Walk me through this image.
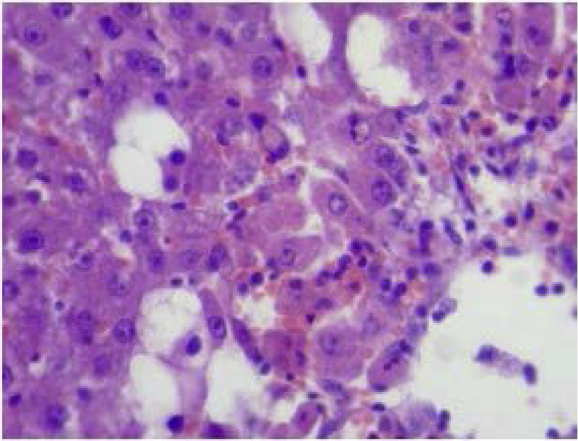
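This liver tissue shows damaged hepatocytes with large clear vacuoles, the appearance of large-droplet fatty degeneration. The vacuoles are larger than nuclei and appear empty, lying among pink-staining liver cells. The sinusoids between the cords are filled with red blood cells, giving an orange-red tinge to the spaces. The cord arrangement is disturbed, and many small dark nuclei lie scattered in the spaces between the hepatocytes. A large irregular empty space occupies one corner of the field.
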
